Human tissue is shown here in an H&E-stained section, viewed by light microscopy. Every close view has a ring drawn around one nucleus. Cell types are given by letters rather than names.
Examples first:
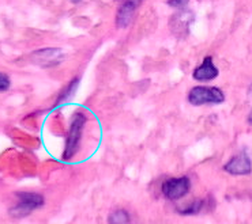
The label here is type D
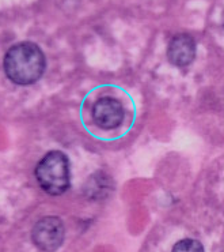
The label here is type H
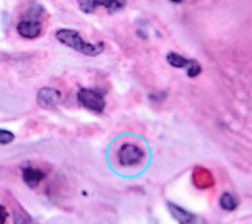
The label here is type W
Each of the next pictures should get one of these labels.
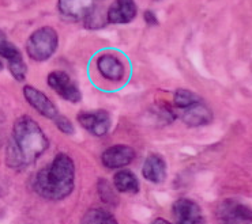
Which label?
type W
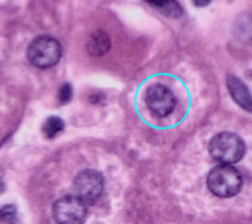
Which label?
type H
